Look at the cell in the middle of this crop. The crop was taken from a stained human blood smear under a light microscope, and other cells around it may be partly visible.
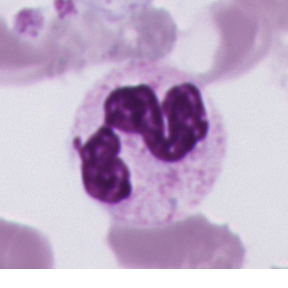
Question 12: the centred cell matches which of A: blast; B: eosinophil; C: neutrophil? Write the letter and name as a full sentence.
The central cell is a neutrophil, which makes option C the right answer.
